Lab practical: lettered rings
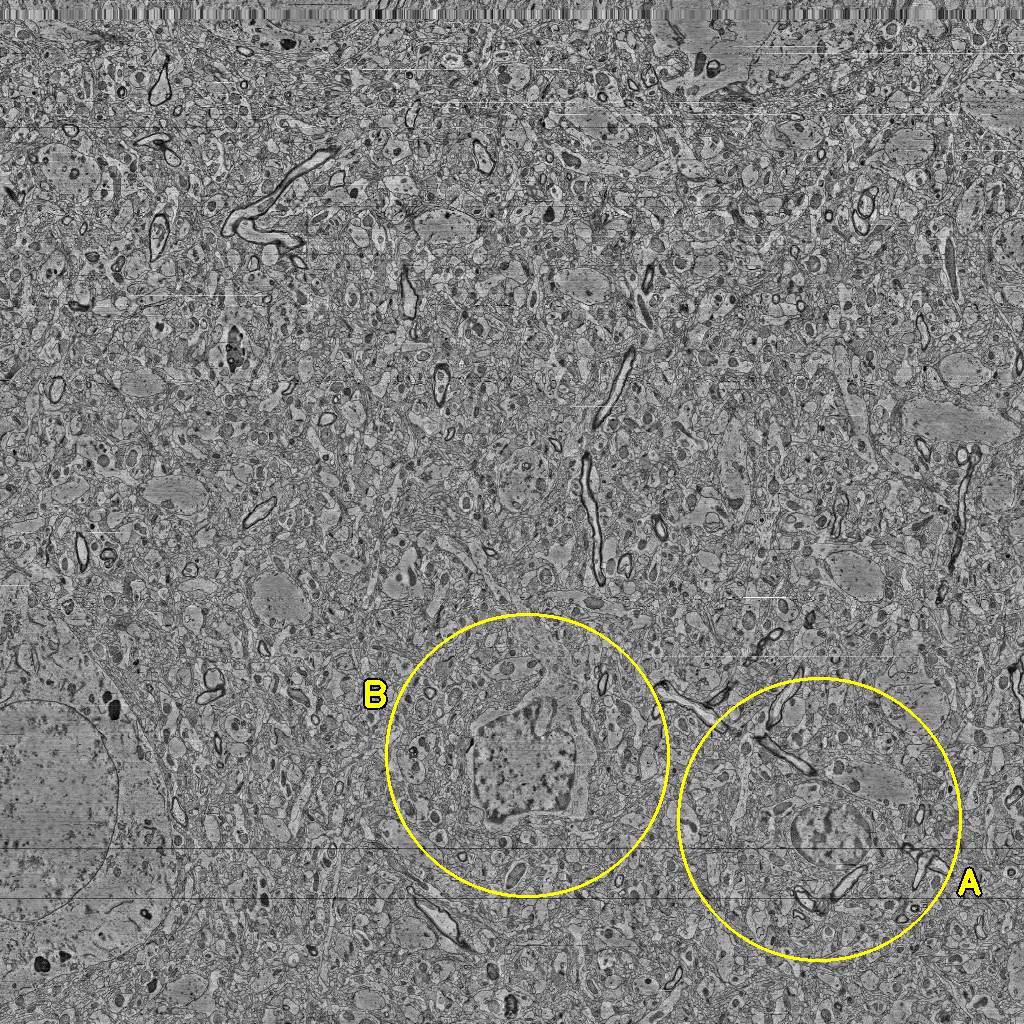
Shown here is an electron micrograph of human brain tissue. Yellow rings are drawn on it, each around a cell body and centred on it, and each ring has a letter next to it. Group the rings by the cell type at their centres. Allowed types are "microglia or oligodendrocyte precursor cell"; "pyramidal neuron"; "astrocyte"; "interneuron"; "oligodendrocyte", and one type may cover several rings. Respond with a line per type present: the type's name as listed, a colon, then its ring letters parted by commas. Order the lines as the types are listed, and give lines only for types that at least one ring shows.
microglia or oligodendrocyte precursor cell: A, B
